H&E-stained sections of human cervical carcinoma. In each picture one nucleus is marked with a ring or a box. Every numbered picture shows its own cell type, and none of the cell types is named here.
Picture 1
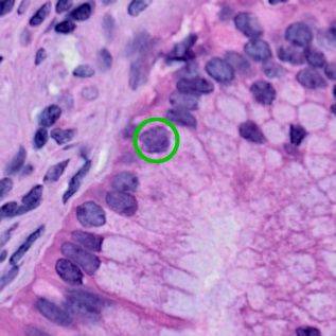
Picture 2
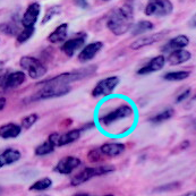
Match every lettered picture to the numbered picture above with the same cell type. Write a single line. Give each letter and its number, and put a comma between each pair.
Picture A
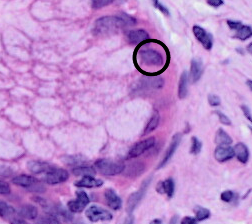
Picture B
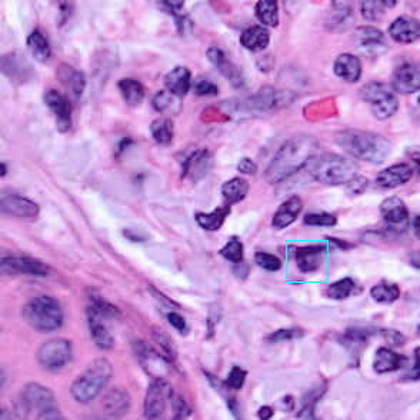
A 1, B 2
